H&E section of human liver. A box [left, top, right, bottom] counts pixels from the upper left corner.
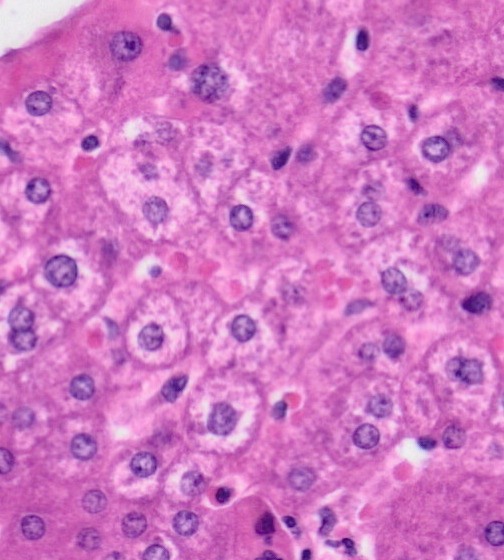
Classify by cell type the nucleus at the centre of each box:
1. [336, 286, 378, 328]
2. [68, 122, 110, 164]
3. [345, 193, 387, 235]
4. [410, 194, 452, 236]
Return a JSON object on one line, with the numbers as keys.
{"1": "Kupffer cell", "2": "lymphocyte", "3": "hepatocyte", "4": "Kupffer cell"}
